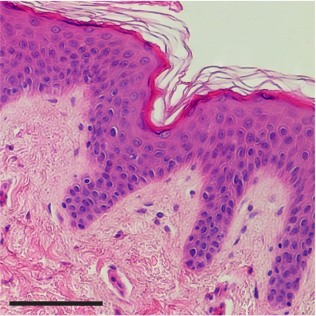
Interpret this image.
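A stratified squamous epithelium of skin overlies pale pink, loosely fibrous connective tissue, and broad epithelial ridges reach down into it. The basal cells are small and crowded, with dark nuclei. Above them the keratinocytes grow larger, with more pink cytoplasm and round nuclei, and they stay tightly packed in continuous layers. At the top, a thin, deeply pink, flaky cornified layer lifts away in wavy strands. No gaps open between the cells, and no rounded, isolated cells appear, so the skin layers look intact.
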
